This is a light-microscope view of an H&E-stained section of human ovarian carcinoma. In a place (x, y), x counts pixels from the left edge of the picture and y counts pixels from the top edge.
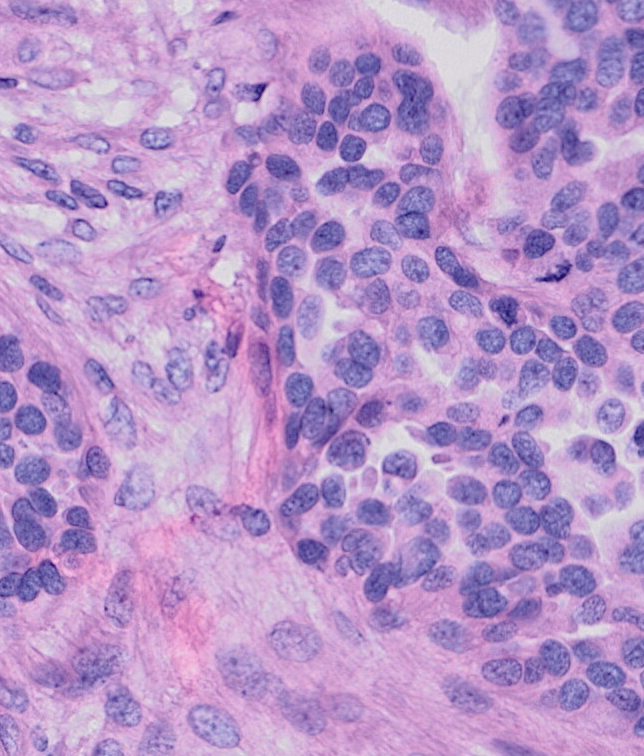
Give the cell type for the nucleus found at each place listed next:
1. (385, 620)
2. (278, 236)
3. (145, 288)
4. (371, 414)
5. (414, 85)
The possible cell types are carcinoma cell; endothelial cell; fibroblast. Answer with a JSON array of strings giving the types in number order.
["fibroblast", "carcinoma cell", "fibroblast", "carcinoma cell", "carcinoma cell"]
